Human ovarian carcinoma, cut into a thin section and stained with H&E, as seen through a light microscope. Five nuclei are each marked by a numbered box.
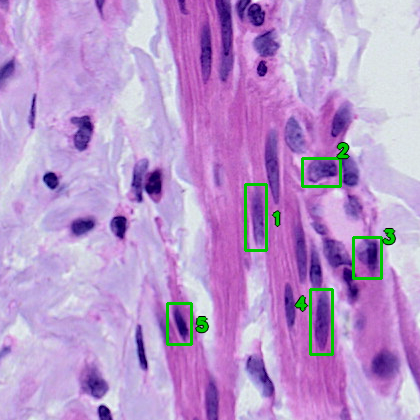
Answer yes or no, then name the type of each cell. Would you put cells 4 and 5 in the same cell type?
Yes, cell 4 is counted among the smooth muscle cells, as is cell 5.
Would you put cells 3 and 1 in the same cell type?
No; whereas cell 3 is an endothelial cell, cell 1 is a smooth muscle cell.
